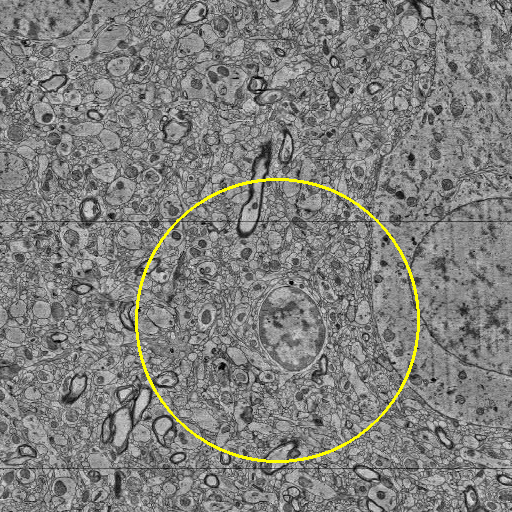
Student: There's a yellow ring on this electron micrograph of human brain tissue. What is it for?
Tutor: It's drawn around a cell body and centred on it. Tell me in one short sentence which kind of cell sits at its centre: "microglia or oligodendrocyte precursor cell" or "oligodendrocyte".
The cell at the centre of the ring is a microglial cell or oligodendrocyte precursor cell.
